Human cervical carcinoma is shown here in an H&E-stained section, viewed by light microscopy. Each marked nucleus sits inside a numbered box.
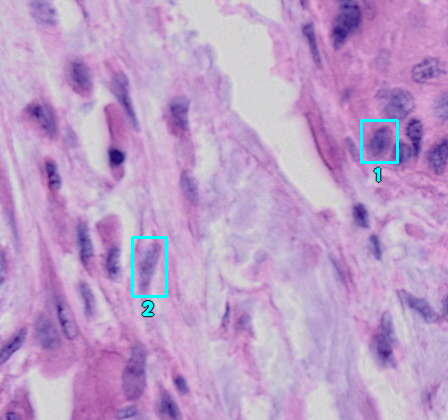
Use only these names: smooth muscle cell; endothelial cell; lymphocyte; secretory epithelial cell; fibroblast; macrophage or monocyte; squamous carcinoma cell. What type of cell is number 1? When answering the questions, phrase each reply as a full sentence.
Cell 1 in the field is a squamous carcinoma cell.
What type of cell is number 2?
The cell numbered 2 represents a fibroblast.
